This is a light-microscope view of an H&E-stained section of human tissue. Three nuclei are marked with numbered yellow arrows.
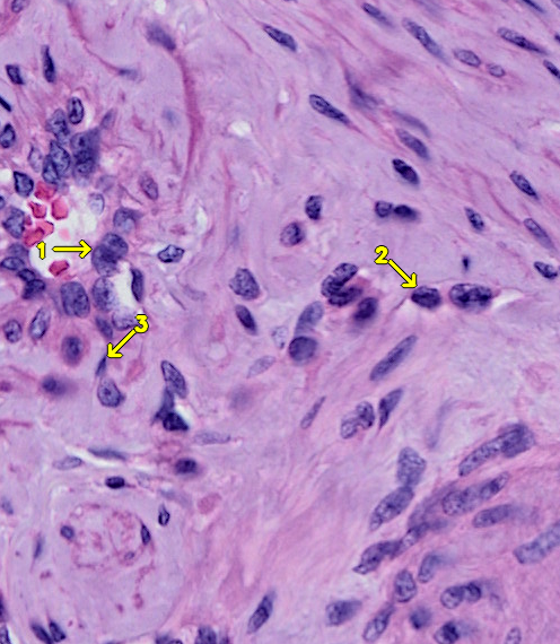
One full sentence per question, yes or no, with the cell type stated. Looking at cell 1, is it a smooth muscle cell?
No, the cell carrying number 1 is an endothelial cell, not a smooth muscle cell.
